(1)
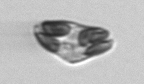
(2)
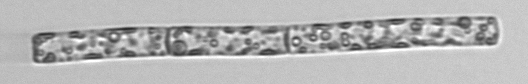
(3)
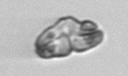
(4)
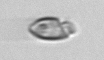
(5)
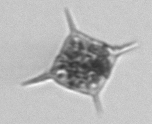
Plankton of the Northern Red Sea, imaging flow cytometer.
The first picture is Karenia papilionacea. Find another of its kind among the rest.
Picture 3.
